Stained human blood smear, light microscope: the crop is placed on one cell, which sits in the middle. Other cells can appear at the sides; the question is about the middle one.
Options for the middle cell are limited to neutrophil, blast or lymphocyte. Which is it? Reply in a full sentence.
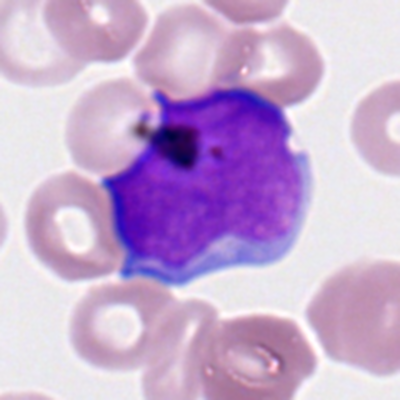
Located at the centre of the crop is a blast.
